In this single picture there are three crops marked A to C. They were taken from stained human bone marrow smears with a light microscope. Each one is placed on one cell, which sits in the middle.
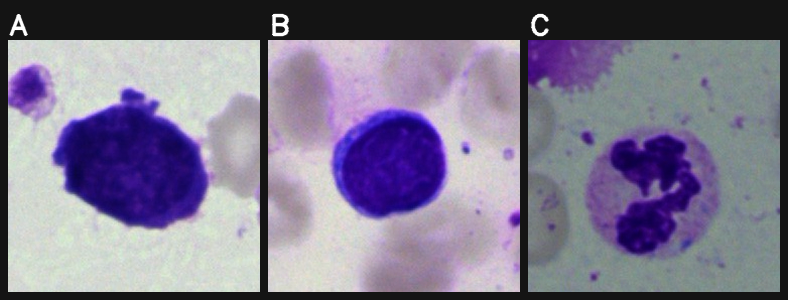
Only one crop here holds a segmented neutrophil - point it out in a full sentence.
Crop C is the crop that shows a segmented neutrophil in its middle.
